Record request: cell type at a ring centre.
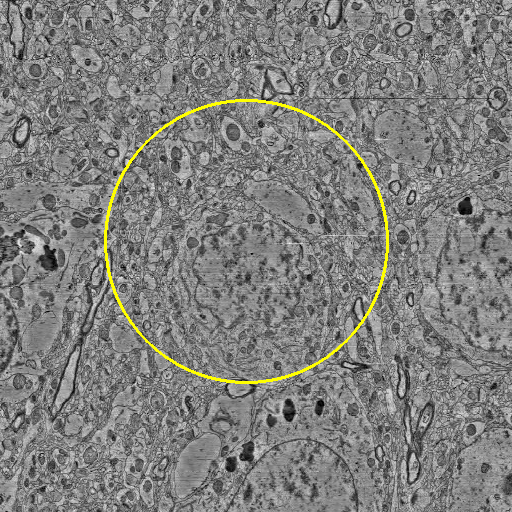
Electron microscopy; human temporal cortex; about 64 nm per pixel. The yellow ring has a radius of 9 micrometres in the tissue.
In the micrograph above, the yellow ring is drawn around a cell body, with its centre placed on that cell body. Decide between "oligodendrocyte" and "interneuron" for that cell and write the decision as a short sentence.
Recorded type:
The cell centred in the yellow ring is an interneuron.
